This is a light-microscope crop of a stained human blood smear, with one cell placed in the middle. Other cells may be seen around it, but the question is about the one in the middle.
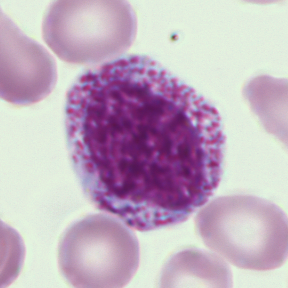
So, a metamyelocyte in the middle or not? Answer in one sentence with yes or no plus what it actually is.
No, the centre cell counts as a myelocyte, not as a metamyelocyte.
